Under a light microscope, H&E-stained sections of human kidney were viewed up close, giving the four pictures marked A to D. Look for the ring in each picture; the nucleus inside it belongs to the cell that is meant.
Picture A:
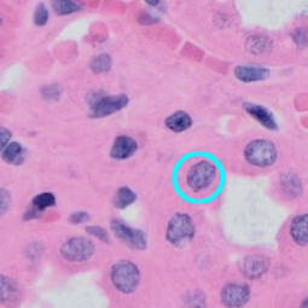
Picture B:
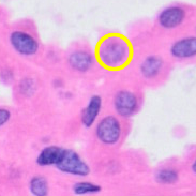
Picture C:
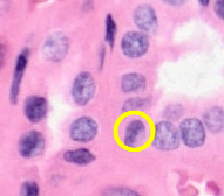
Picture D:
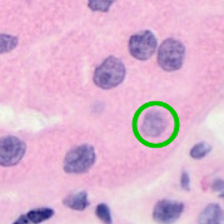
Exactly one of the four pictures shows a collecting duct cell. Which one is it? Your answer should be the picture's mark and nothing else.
C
